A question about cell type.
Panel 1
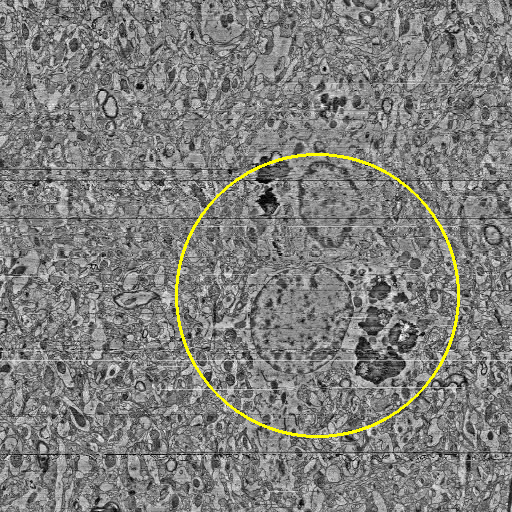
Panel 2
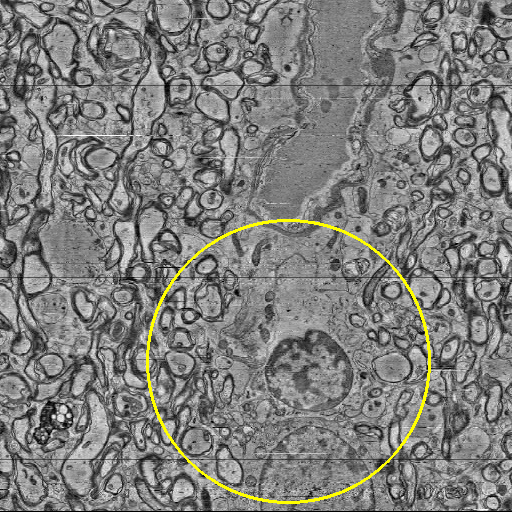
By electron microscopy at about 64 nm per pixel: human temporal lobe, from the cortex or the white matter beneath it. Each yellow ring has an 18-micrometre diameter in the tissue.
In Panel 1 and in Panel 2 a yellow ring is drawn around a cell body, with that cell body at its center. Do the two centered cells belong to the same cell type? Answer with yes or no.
no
